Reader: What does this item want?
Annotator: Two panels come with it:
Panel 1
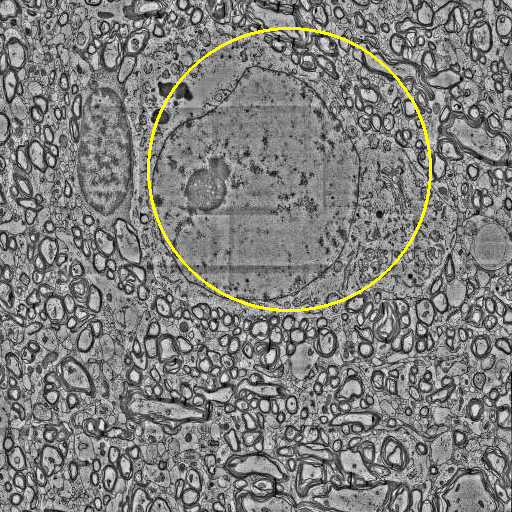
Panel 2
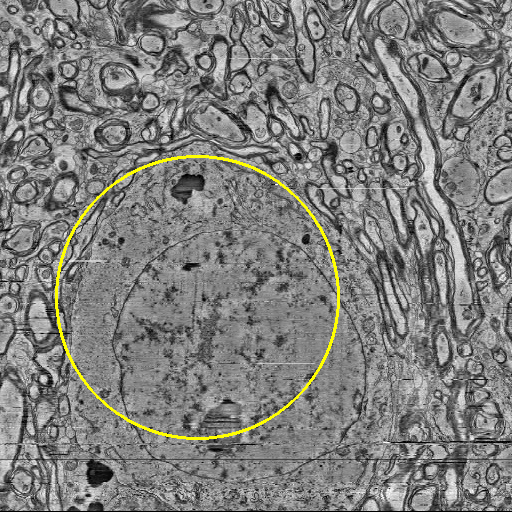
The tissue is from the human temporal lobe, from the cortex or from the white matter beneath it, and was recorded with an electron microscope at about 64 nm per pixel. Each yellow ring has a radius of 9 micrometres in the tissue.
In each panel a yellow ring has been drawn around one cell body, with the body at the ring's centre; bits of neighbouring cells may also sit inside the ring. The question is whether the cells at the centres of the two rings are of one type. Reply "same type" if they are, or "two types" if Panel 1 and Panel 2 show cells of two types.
same type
